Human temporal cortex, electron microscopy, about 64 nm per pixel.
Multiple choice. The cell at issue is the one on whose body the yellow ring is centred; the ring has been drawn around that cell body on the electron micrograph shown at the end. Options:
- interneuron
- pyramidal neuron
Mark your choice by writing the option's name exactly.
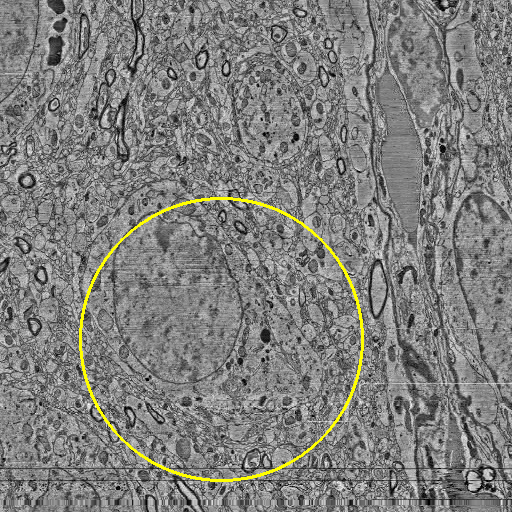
pyramidal neuron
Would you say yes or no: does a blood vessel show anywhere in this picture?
Yes, there is a blood vessel in the image.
